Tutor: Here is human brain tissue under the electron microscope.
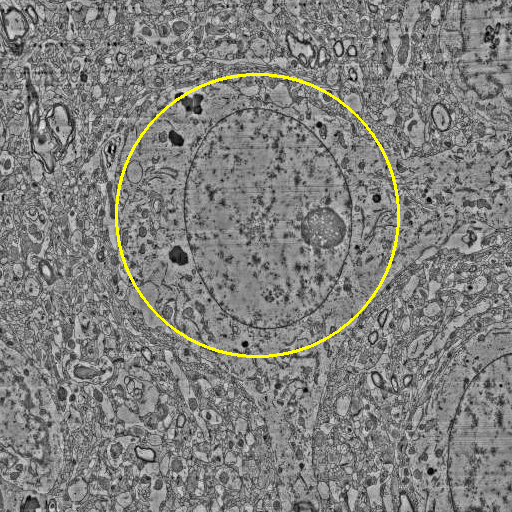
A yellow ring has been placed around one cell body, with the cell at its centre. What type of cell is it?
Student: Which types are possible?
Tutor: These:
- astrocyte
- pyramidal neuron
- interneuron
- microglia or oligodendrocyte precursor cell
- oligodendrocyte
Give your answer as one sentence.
What the ring picks out here is a pyramidal neuron.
